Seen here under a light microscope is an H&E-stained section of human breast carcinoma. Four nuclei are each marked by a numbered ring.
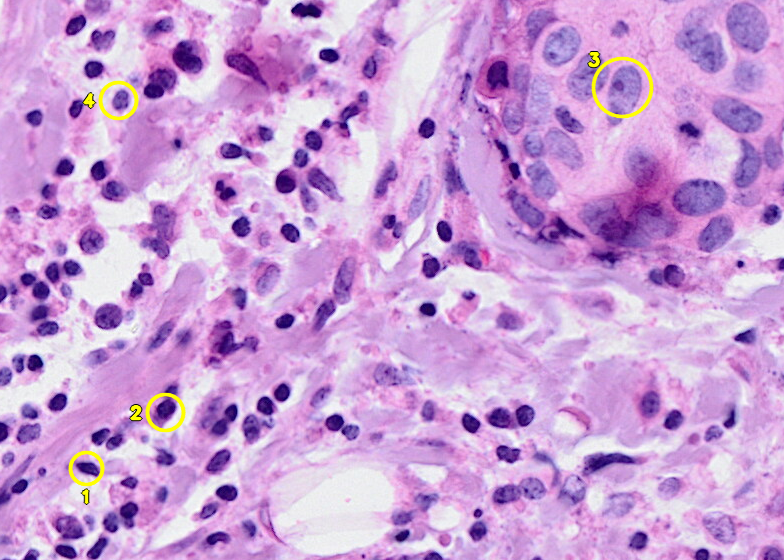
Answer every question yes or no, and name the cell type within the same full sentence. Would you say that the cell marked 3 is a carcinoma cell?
Yes, it checks out; the cell labelled 3 is a carcinoma cell.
